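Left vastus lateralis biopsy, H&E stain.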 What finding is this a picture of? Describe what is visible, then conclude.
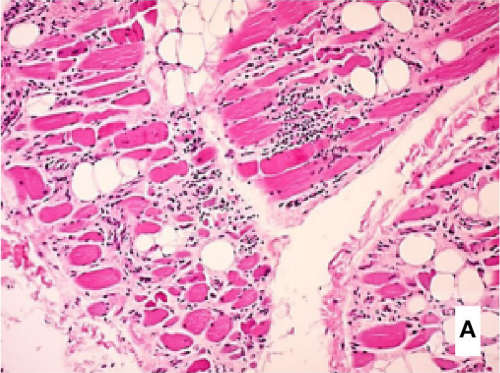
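Dense clusters of small dark nuclei lie between the muscle fibers. The clusters sit in the spaces between groups of pink fibers.
Hence: inflammatory infiltrates.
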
